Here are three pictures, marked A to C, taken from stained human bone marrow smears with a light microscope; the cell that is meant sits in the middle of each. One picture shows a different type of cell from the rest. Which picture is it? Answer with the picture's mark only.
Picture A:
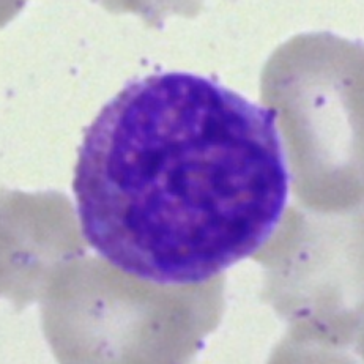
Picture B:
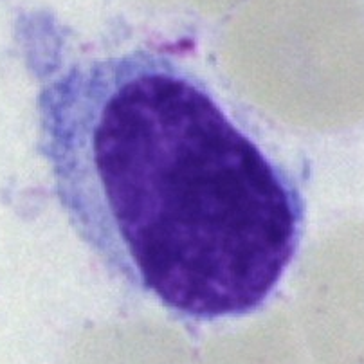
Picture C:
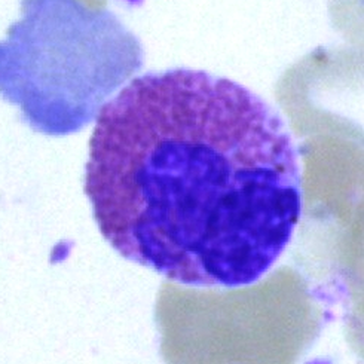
B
